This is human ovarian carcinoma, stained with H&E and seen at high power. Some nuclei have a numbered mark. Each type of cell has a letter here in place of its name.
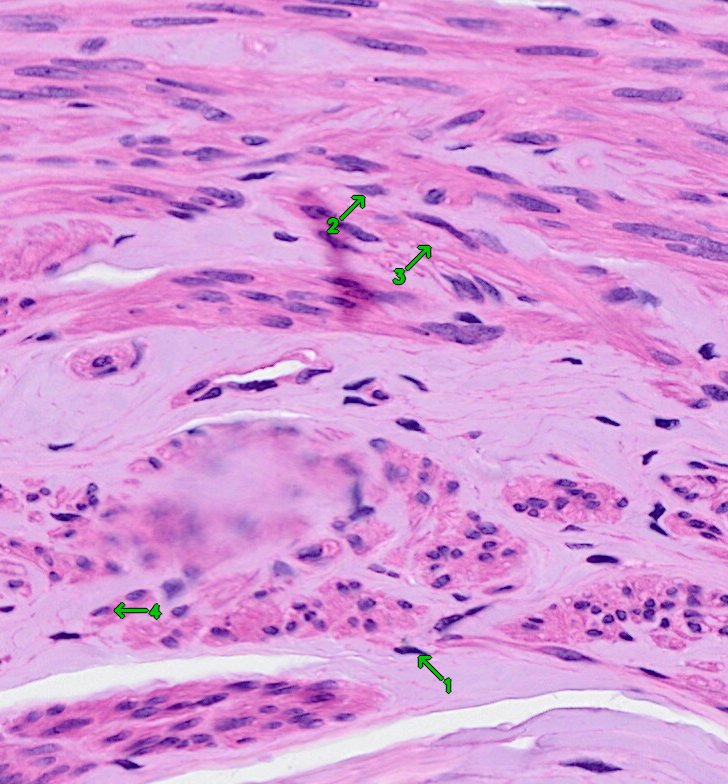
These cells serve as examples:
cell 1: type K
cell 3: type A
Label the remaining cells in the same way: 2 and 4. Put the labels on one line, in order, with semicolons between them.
type A; type A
